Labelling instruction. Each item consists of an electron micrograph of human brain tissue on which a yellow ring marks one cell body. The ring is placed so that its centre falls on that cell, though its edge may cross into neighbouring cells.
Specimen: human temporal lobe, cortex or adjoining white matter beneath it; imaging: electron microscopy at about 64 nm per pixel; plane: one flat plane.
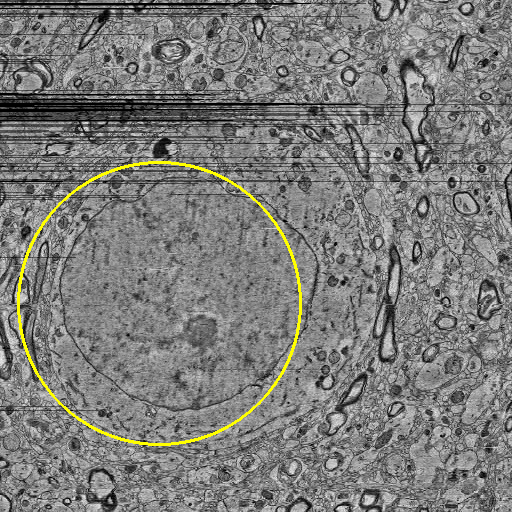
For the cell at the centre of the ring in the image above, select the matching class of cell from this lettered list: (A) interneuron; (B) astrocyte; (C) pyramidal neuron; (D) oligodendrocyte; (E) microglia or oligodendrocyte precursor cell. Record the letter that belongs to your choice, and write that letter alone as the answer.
C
